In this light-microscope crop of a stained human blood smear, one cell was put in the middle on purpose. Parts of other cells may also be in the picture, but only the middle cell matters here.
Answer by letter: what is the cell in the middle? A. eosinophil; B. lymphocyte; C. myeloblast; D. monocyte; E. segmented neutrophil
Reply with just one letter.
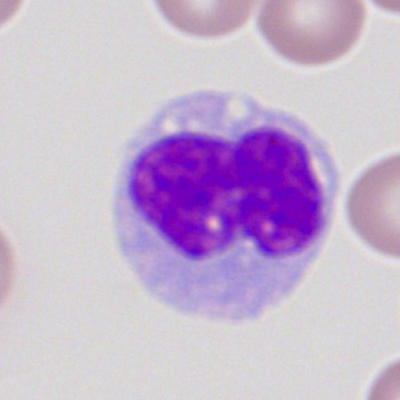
D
